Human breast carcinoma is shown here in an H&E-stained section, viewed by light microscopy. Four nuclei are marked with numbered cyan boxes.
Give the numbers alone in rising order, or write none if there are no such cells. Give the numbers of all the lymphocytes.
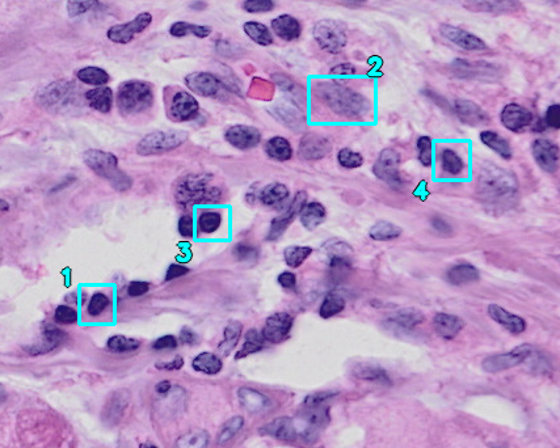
1, 3, 4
